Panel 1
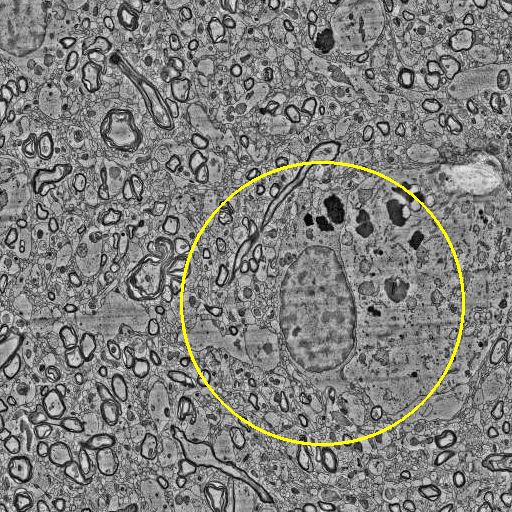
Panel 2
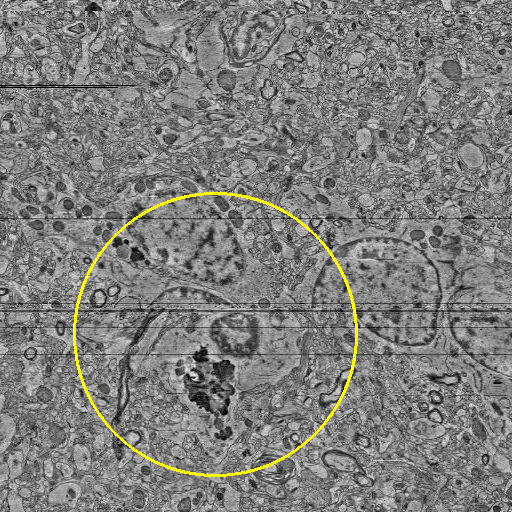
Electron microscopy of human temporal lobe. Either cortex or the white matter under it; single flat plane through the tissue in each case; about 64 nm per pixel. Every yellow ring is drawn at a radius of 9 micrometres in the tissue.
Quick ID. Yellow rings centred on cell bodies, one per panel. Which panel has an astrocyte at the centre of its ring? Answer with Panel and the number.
Panel 2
